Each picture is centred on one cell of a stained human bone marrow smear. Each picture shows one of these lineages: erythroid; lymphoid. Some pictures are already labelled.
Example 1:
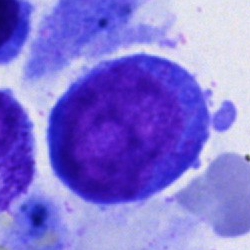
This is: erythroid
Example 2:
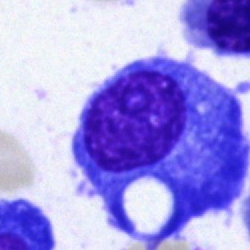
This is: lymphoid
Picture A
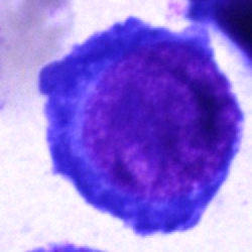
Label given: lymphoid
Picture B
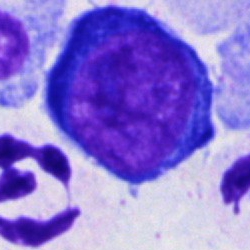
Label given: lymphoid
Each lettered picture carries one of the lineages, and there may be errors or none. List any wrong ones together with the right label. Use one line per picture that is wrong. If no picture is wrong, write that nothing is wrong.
A should be erythroid, not lymphoid
B should be erythroid, not lymphoid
